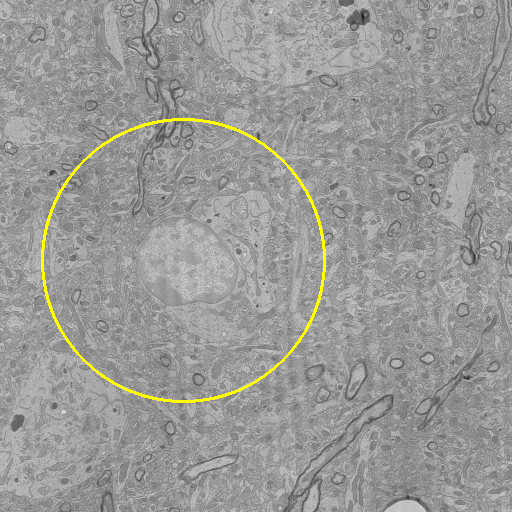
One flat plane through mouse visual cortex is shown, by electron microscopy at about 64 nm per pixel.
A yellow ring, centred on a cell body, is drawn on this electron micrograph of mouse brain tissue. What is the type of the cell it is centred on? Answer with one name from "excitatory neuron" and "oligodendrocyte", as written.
oligodendrocyte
